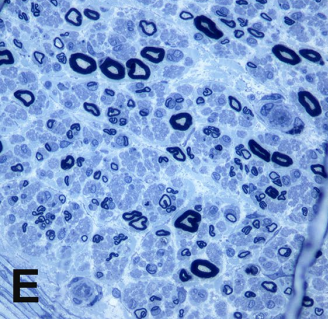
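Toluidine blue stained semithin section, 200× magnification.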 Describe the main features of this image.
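This is a cross-section through a peripheral nerve fascicle, in which the myelinated nerve fibers show as dark blue rings around paler axons. The rings vary greatly in size: a few are large with thick dark walls, while many are small with only thin rims. Between them lie numerous pale, round to polygonal profiles without a dark ring. The background between the fibers is pale and somewhat loose. Overall, large thickly myelinated fibers are few compared with the crowd of small profiles.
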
